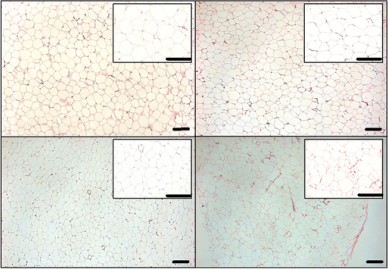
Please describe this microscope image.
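This is white adipose tissue made of closely packed, large adipocytes, each seen as a clear, empty polygonal space outlined by a thin pale pink rim. The cells fit together like a honeycomb, with very little tissue between them, and in places thin pinkish strands run between groups of cells. The insets show the thin-walled, empty cells enlarged.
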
